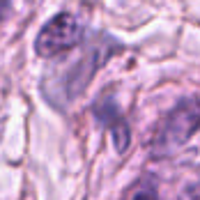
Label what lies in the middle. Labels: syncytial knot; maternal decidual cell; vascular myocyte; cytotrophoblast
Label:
vascular myocyte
